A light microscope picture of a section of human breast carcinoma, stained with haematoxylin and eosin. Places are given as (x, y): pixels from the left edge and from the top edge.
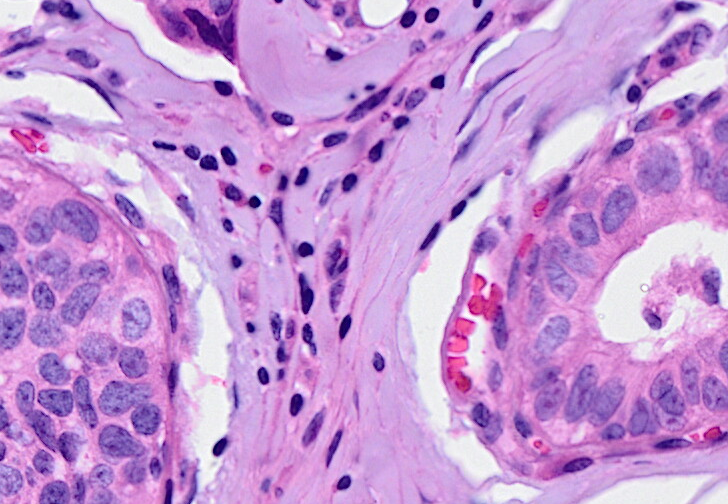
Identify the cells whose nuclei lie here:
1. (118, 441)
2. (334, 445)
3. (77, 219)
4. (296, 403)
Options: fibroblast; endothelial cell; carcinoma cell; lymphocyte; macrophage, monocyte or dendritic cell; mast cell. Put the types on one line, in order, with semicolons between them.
carcinoma cell; fibroblast; carcinoma cell; lymphocyte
